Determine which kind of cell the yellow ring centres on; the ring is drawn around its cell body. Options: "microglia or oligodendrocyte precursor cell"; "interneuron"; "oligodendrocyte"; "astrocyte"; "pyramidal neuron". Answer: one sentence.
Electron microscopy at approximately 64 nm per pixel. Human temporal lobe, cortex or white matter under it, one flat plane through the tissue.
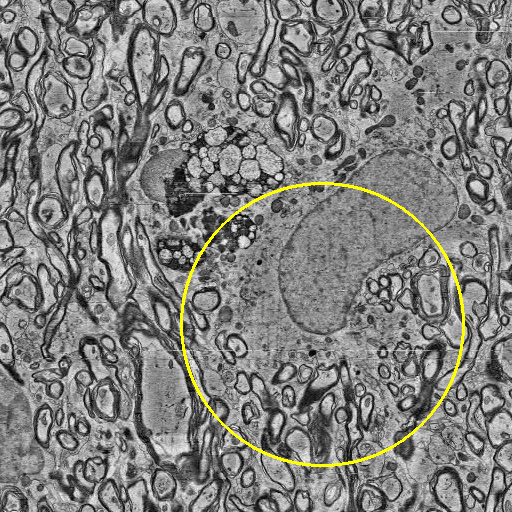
The ring centres on an astrocyte.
